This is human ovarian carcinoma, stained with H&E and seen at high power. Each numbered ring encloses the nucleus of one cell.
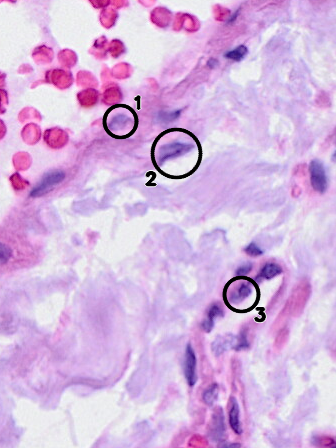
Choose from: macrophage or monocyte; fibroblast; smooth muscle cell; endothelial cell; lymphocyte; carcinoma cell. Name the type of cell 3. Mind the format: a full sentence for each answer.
Recognised here as an endothelial cell is the cell numbered 3.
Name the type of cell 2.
Within this field of view, the cell labelled 2 is a fibroblast.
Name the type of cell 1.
The cell marked with the number 1 is an endothelial cell.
